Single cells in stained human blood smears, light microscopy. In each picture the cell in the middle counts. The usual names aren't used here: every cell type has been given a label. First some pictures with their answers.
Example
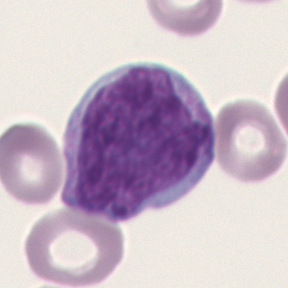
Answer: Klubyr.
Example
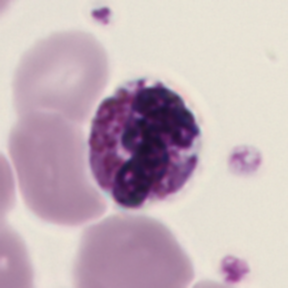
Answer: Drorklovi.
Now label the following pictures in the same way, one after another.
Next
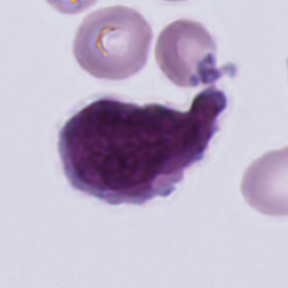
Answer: Klubyr.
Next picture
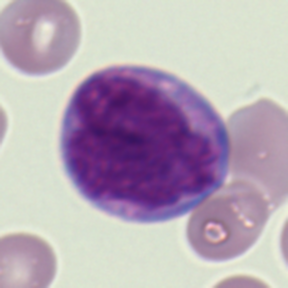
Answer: Klubyr.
